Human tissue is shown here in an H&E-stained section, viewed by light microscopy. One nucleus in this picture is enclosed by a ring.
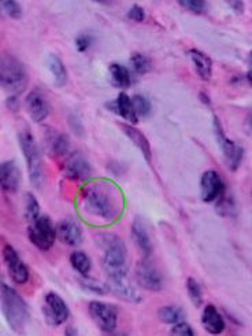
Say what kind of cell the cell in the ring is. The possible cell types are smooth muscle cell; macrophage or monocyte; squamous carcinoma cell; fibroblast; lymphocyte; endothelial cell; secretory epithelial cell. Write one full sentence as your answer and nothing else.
Right, so the cell in the ring is an endothelial cell, to answer that.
